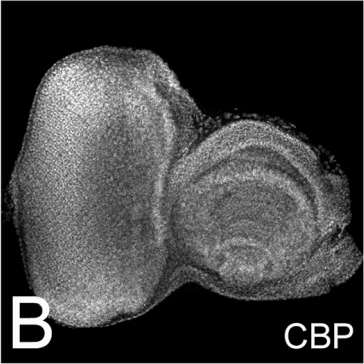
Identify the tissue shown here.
eye imaginal disc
